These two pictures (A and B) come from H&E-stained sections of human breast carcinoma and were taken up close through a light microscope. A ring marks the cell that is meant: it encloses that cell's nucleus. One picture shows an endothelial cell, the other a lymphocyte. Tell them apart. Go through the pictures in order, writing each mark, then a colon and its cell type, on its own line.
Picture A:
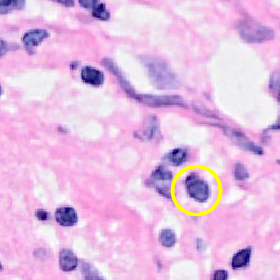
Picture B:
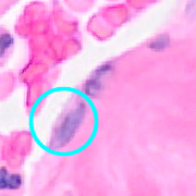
A: lymphocyte
B: endothelial cell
